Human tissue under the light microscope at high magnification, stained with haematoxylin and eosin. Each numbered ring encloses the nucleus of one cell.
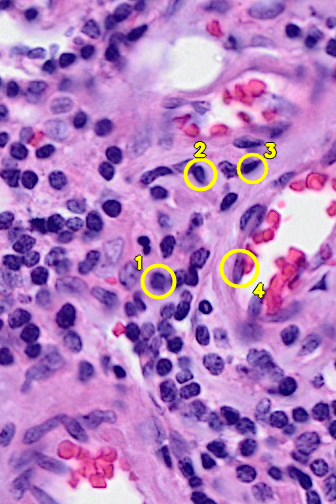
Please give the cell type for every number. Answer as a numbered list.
1. lymphocyte
2. lymphocyte
3. lymphocyte
4. endothelial cell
